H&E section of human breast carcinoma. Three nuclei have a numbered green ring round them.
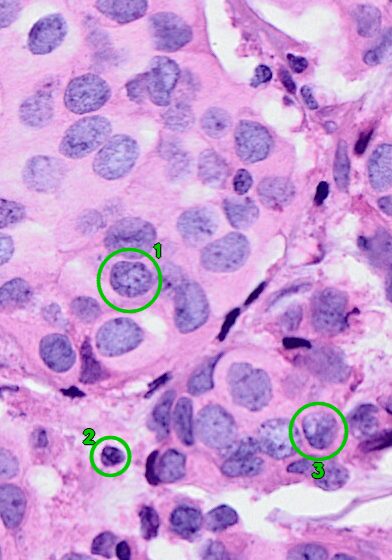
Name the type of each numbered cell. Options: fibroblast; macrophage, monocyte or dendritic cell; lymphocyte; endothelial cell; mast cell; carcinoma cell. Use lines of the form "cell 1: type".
cell 1: carcinoma cell
cell 2: lymphocyte
cell 3: carcinoma cell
